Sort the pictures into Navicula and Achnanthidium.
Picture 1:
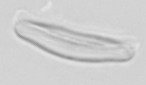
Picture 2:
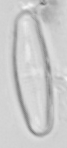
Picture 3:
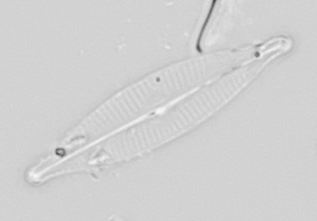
Achnanthidium: 1, 2
Navicula: 3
